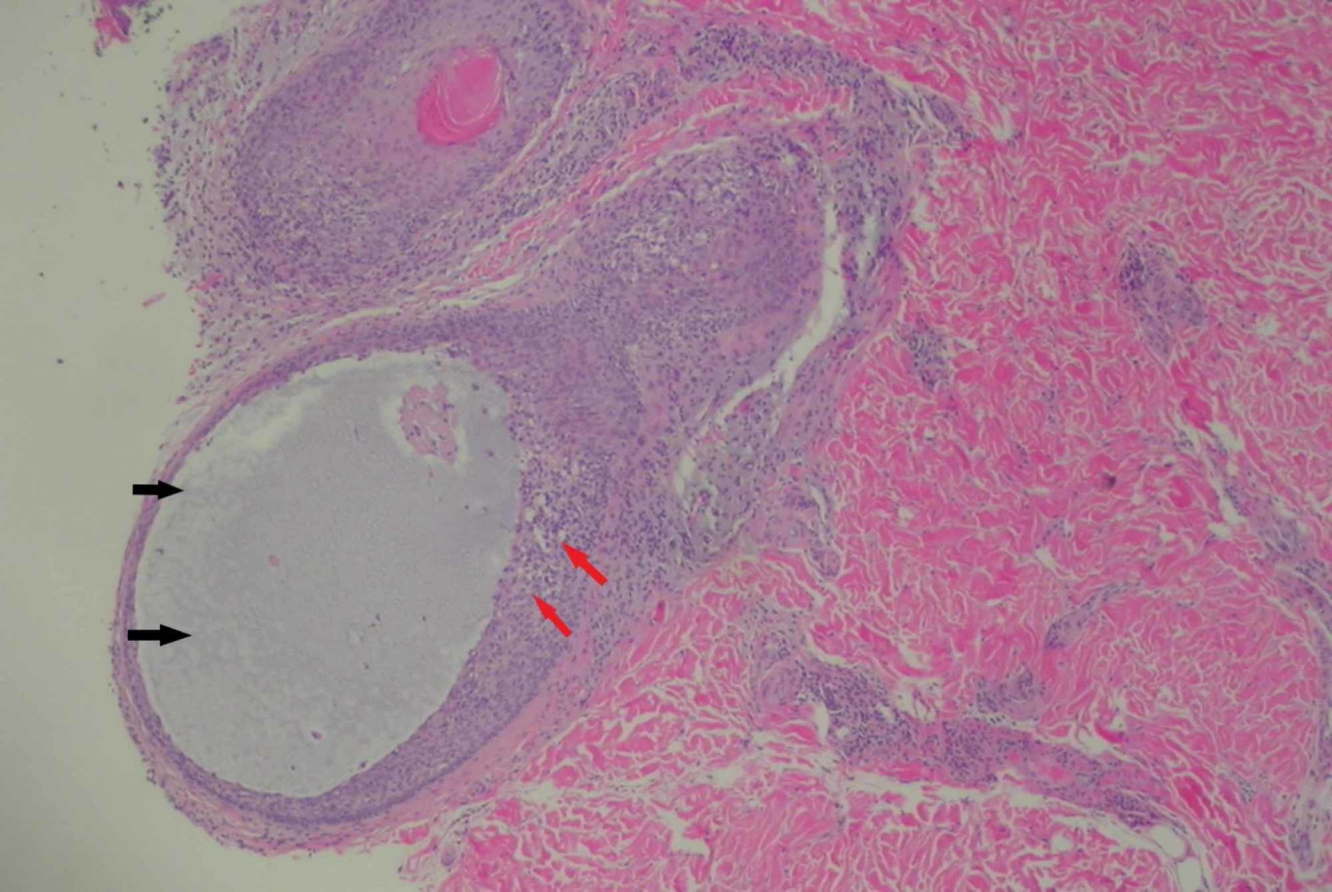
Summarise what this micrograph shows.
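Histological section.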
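Follicles within pink collagenous dermis. One follicle is expanded into a rounded cavity filled with pale grey-blue amorphous material and lined by a thin epithelial rim, while a neighbouring follicle above holds a pink, compact central plug. Dense collections of small dark round nuclei surround the follicles.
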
